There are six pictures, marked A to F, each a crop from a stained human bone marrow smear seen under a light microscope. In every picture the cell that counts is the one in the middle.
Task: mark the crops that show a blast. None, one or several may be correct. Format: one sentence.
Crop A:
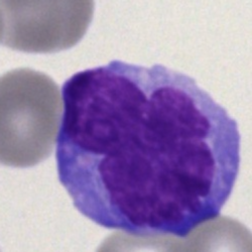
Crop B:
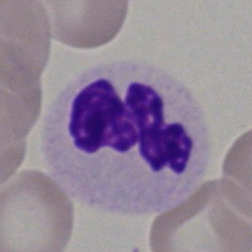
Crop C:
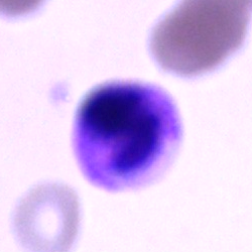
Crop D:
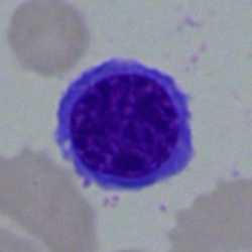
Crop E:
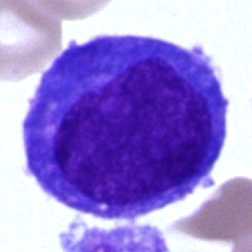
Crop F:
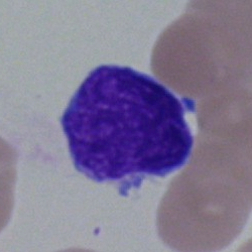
Crops A, E and F depict blasts in the middle.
